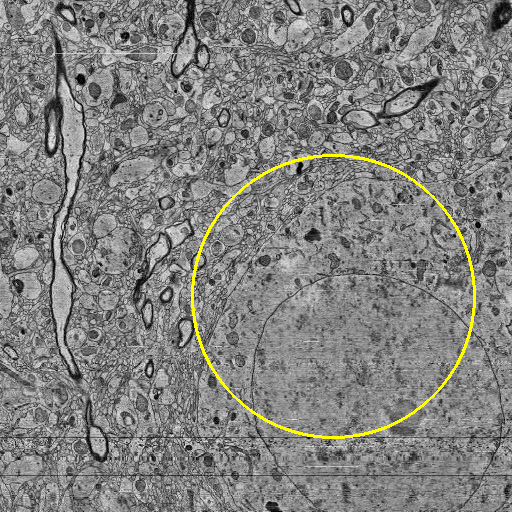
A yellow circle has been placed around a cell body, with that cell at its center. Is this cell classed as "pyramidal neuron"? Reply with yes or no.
Yes, it belongs to that class.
